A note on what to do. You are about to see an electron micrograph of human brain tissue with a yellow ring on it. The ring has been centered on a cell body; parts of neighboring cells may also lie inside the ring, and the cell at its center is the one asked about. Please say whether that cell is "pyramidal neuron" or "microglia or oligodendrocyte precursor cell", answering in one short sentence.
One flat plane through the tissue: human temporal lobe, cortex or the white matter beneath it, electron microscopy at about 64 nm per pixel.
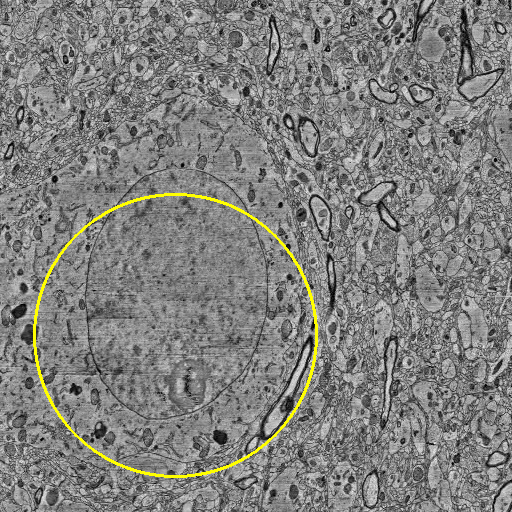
The yellow ring sits on a pyramidal neuron.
